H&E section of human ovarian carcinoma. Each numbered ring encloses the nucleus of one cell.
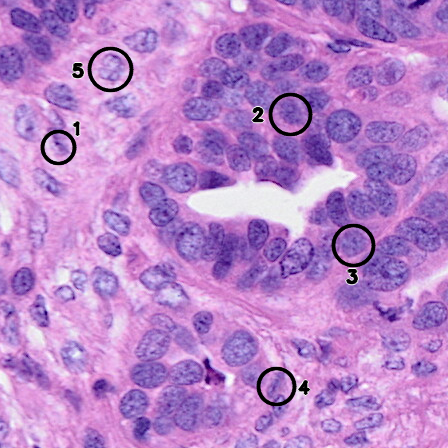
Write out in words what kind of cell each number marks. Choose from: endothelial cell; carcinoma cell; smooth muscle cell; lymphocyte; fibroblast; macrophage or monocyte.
Cell 1 is a fibroblast, cell 2 is a carcinoma cell, cell 3 is a carcinoma cell, cell 4 is a fibroblast and cell 5 is a fibroblast.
